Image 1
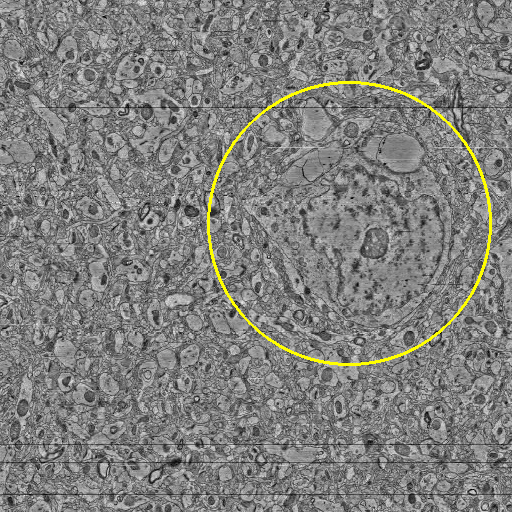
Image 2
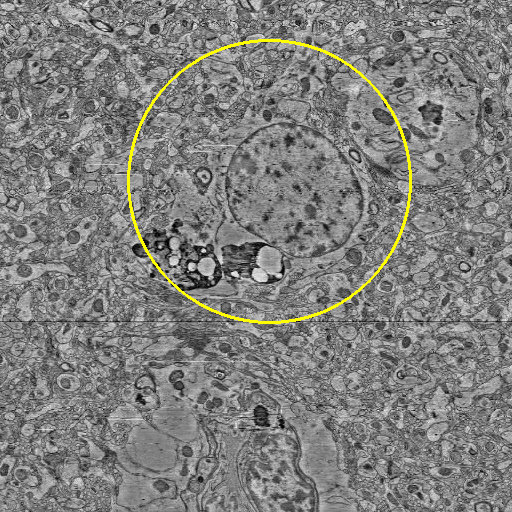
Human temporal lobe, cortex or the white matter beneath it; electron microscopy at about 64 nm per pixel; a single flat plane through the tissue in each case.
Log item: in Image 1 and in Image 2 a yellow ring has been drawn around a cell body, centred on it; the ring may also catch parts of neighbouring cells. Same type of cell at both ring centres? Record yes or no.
no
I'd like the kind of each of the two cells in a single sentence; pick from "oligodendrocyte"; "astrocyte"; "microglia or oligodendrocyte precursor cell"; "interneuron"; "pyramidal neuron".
The first ring marks an interneuron, and the second ring marks an astrocyte.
